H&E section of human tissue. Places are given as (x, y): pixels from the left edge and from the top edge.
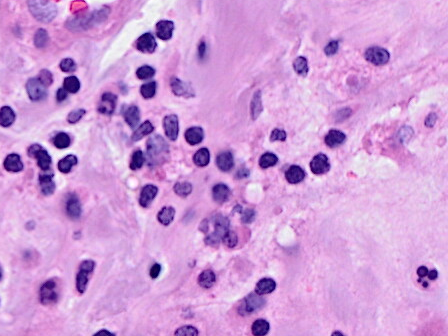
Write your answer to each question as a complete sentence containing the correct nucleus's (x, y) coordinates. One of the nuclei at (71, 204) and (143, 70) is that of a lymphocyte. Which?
It is the nucleus at (143, 70) that belongs to a lymphocyte.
